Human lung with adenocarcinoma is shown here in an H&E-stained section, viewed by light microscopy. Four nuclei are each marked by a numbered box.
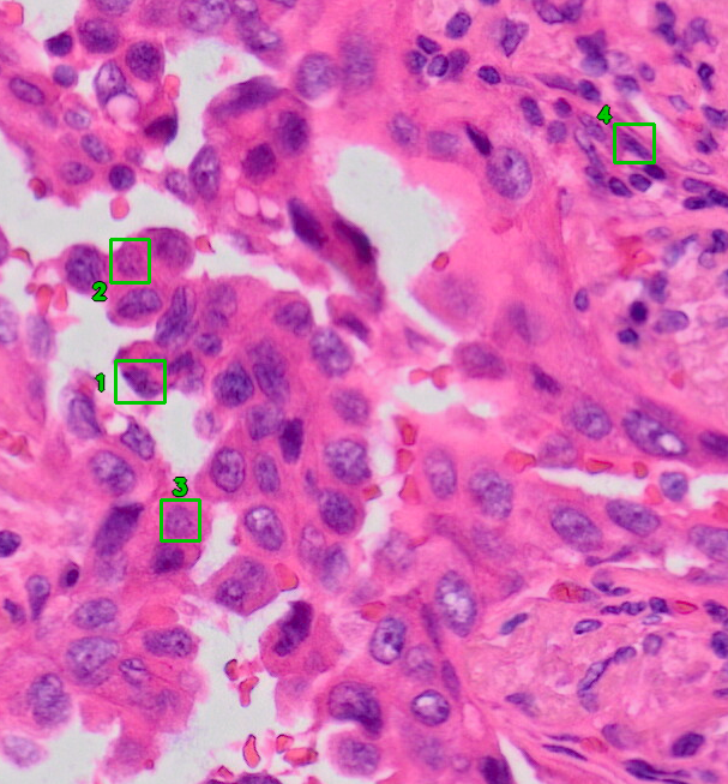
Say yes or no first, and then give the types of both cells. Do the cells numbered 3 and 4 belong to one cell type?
No, the correct reading has cell 3 as a carcinoma cell and cell 4 as a plasma cell.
